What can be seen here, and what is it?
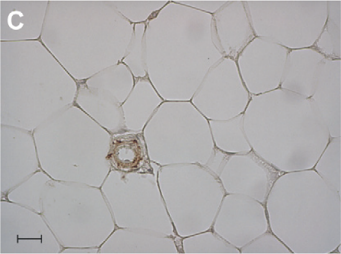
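This is white adipose tissue composed of large, rounded-polygonal adipocytes packed edge to edge. The adipocytes have clear, unstained interiors with only thin peripheral rims of cytoplasm outlining them. A small blood vessel cut in cross section lies at a junction between several adipocytes, and its wall is stained brown. The rest of the tissue shows only pale outlines.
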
